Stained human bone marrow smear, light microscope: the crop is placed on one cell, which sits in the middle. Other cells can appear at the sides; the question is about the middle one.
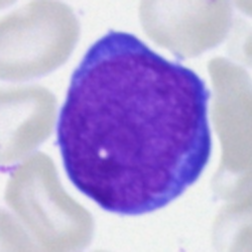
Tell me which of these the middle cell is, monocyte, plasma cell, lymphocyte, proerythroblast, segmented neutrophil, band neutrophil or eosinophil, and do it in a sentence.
The cell positioned in the middle of the field is a proerythroblast.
